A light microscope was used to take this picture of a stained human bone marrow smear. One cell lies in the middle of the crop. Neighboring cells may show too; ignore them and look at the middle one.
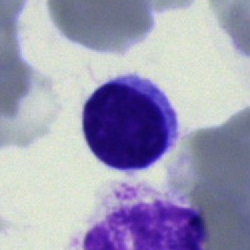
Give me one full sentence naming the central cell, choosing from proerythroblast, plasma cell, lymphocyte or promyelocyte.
The centered cell in this crop is a lymphocyte.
